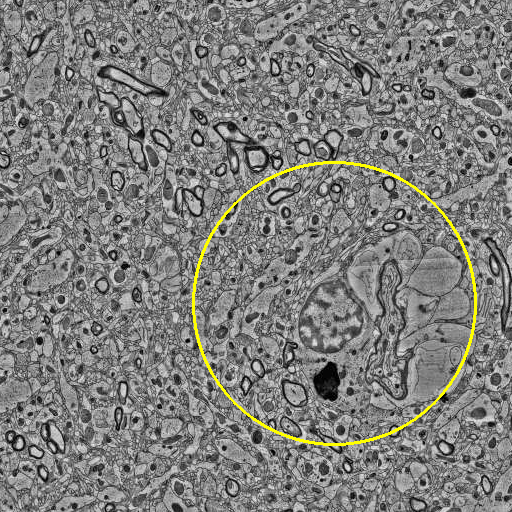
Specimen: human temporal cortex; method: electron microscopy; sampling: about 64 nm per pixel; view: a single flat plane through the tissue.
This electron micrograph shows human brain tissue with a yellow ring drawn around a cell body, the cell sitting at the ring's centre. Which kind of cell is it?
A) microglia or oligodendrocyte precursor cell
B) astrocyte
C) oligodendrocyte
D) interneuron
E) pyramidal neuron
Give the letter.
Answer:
C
